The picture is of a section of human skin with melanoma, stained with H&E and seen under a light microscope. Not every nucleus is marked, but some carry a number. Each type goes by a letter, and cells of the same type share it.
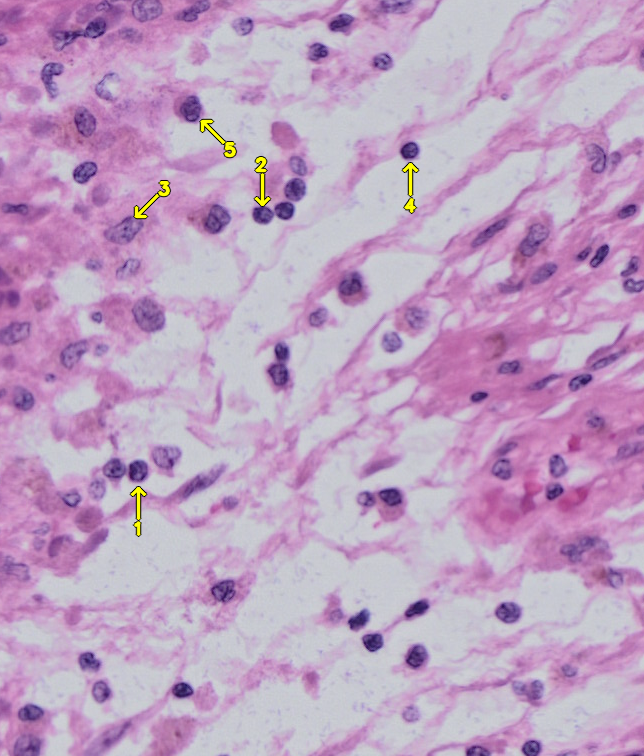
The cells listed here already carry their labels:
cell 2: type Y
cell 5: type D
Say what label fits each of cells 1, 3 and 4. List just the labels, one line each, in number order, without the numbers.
type Y
type D
type Y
